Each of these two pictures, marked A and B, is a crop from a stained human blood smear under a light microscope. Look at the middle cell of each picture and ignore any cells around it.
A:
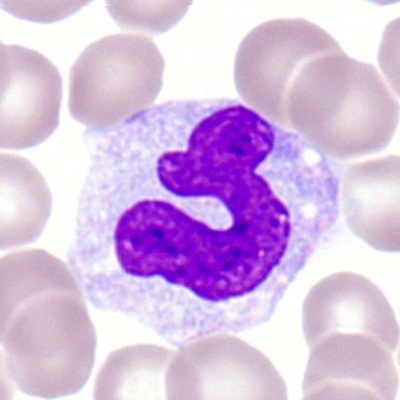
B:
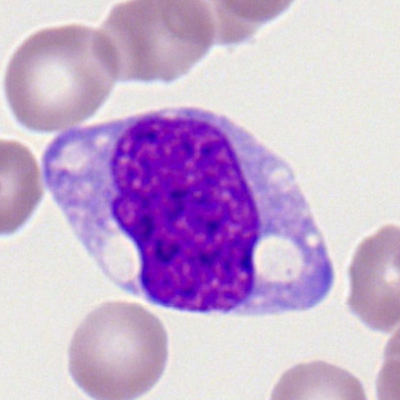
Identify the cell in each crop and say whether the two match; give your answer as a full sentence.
Yes, these two crops both show monocytes.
